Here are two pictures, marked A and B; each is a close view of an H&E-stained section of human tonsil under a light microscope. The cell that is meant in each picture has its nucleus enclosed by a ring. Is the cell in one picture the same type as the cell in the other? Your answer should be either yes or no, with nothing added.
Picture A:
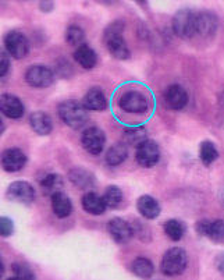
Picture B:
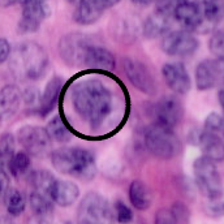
no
